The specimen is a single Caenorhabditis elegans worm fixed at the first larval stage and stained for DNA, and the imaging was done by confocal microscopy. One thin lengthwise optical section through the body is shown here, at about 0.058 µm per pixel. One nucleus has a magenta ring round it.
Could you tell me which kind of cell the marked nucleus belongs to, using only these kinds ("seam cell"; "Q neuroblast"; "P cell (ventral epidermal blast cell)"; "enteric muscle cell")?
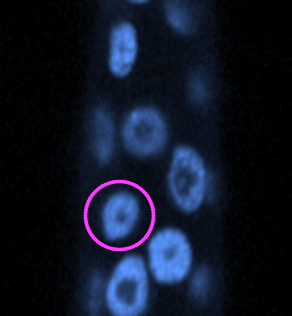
P cell (ventral epidermal blast cell)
